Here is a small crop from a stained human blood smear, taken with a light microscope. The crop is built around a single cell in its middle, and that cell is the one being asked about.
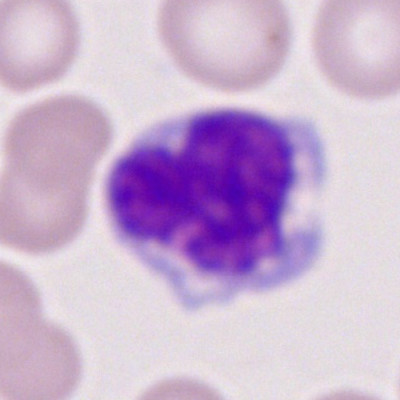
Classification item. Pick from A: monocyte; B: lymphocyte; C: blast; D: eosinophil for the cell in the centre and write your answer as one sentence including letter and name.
The expected answer is option A, the central cell being a monocyte.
